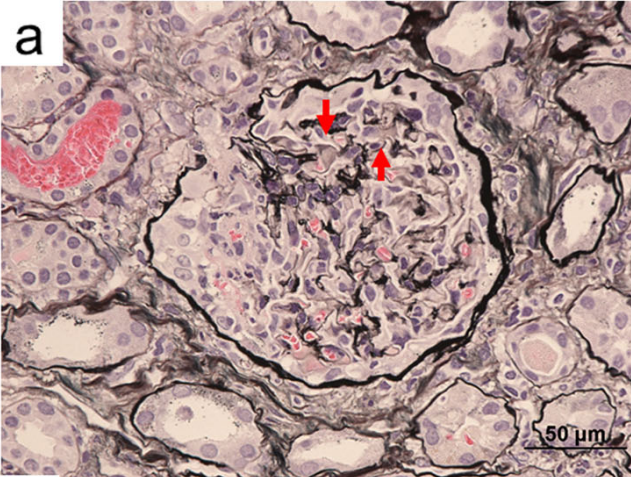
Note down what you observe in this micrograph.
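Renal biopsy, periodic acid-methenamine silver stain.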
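A glomerulus sits within a thick black-outlined capsule, surrounded by cross-sectioned tubules with black basement membranes and a red-stained vessel at the upper left. Within the tuft, the black capillary loop outlines are broken up in places, with pale, smudgy material between the fragments, a picture of segmental fibrinoid necrosis of the glomerular tuft.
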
